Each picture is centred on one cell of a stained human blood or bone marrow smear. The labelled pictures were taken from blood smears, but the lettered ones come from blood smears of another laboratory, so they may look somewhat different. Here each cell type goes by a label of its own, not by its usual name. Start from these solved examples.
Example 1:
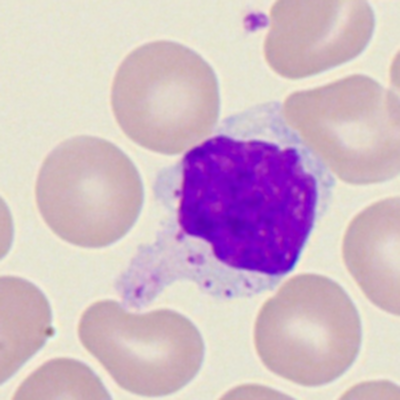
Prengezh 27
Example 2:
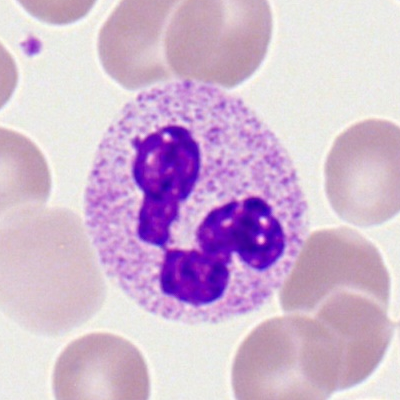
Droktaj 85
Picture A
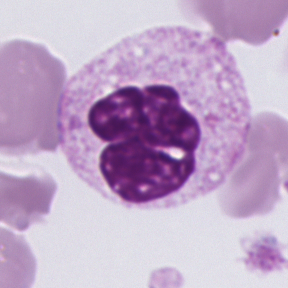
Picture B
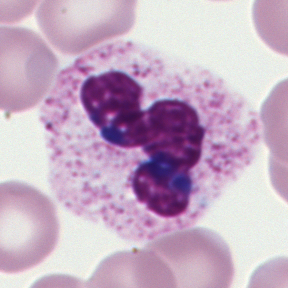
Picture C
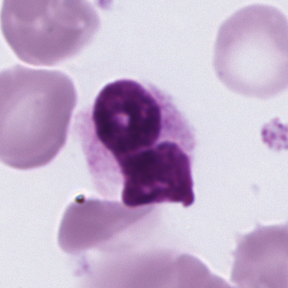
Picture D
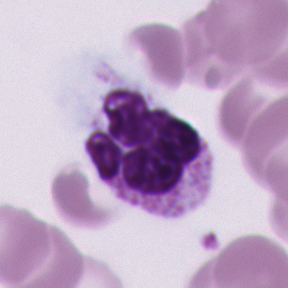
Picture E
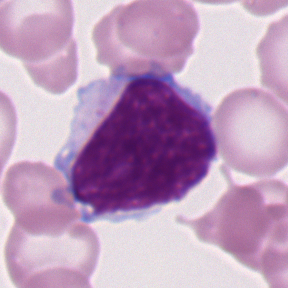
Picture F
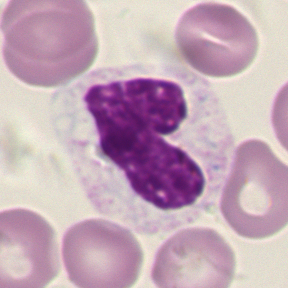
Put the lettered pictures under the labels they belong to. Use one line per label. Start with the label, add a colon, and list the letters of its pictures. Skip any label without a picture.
Prengezh 27: E
Droktaj 85: A, B, C, D, F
